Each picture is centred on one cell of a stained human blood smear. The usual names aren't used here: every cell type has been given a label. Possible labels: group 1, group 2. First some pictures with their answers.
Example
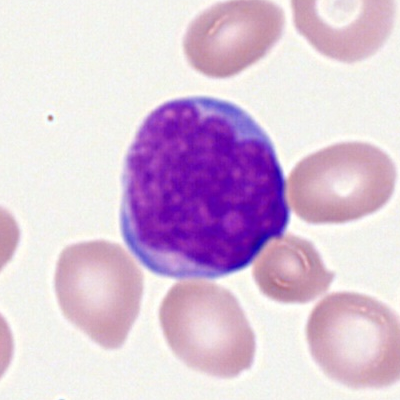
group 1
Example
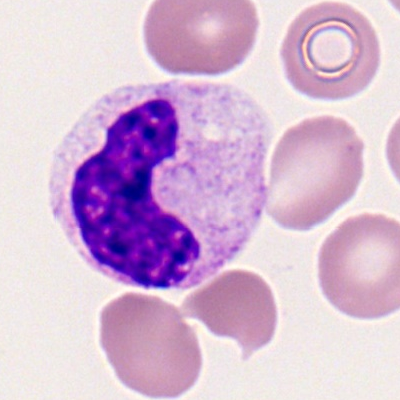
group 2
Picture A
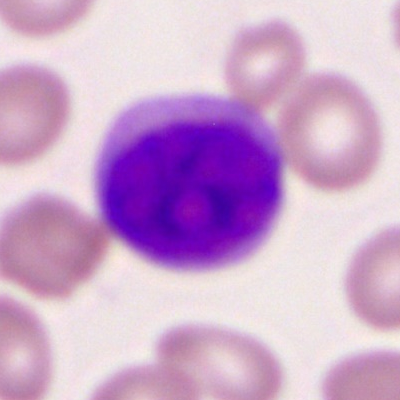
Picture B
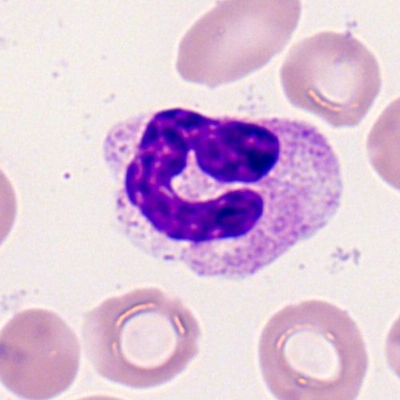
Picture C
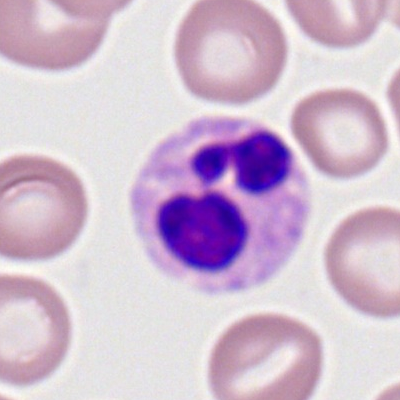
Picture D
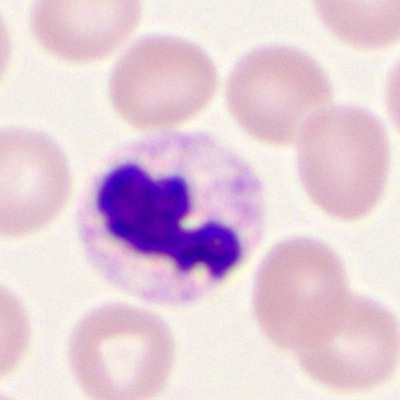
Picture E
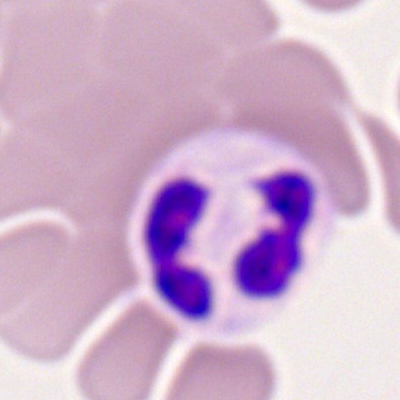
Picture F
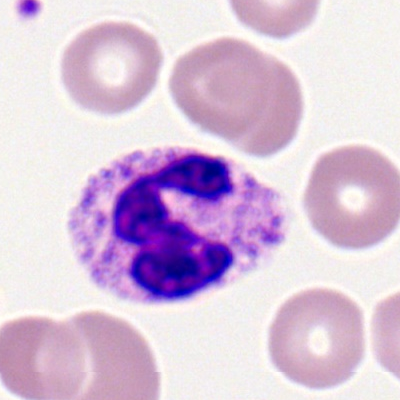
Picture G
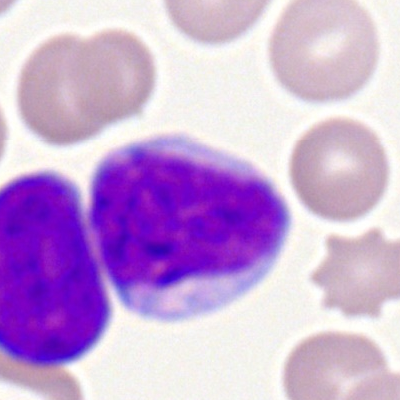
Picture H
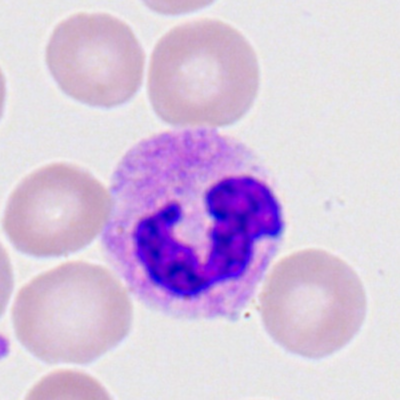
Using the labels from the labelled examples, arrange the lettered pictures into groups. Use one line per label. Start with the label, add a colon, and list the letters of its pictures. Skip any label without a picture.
group 1: A, G
group 2: B, C, D, E, F, H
